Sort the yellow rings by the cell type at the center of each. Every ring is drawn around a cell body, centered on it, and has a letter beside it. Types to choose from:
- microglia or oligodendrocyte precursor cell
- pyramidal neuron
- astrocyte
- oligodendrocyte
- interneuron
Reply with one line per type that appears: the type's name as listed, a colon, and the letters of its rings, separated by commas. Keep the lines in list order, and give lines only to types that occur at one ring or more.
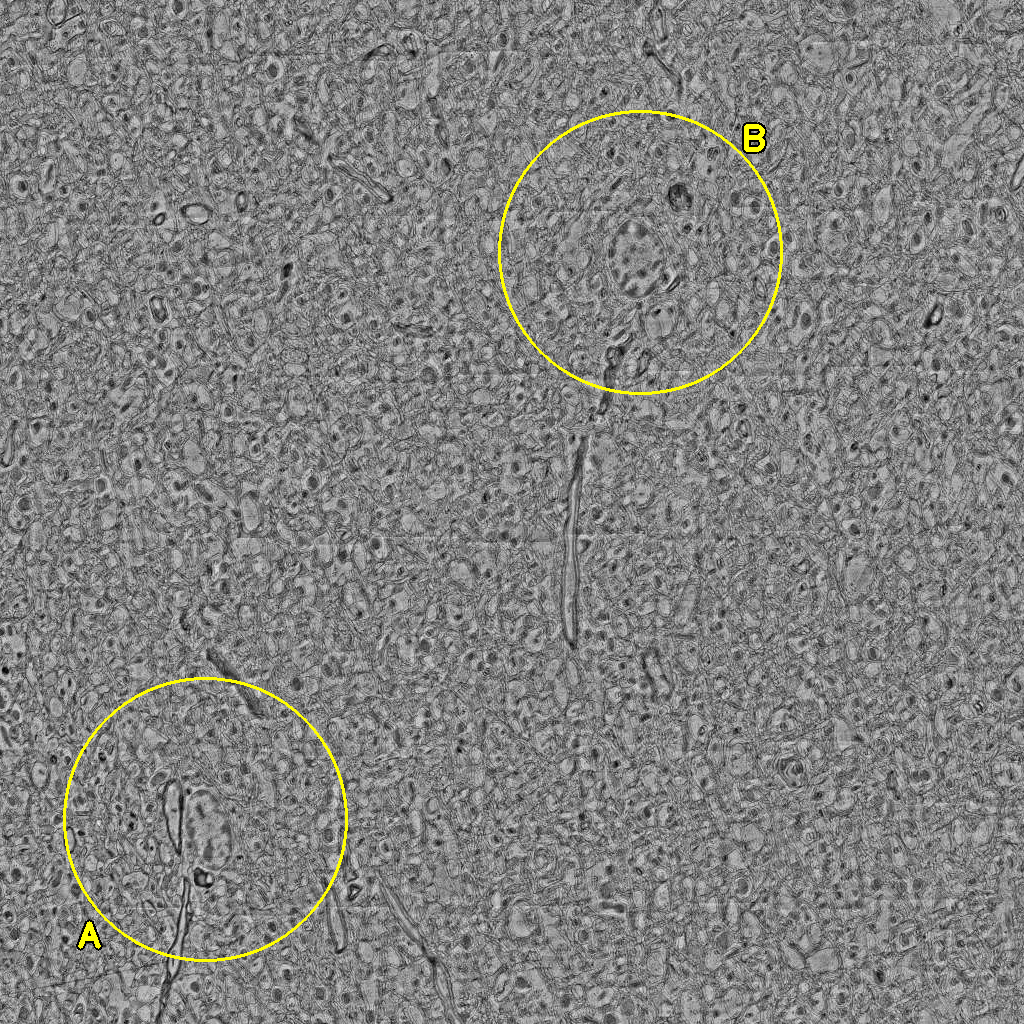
microglia or oligodendrocyte precursor cell: A, B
